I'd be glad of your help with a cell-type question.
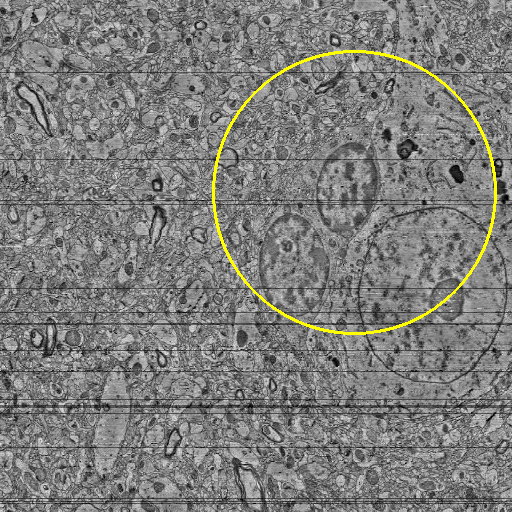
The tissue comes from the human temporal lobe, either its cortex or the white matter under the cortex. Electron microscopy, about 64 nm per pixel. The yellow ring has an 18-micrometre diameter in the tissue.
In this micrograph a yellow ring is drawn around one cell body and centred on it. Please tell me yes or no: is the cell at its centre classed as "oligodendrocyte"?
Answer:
yes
